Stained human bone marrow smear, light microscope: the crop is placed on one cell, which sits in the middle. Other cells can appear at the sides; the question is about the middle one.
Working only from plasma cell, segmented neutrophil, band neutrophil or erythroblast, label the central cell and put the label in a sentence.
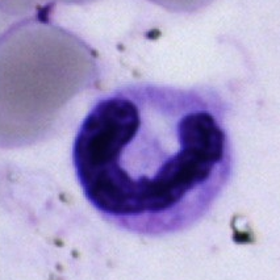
The crop centres on a single cell, and that cell is a segmented neutrophil.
